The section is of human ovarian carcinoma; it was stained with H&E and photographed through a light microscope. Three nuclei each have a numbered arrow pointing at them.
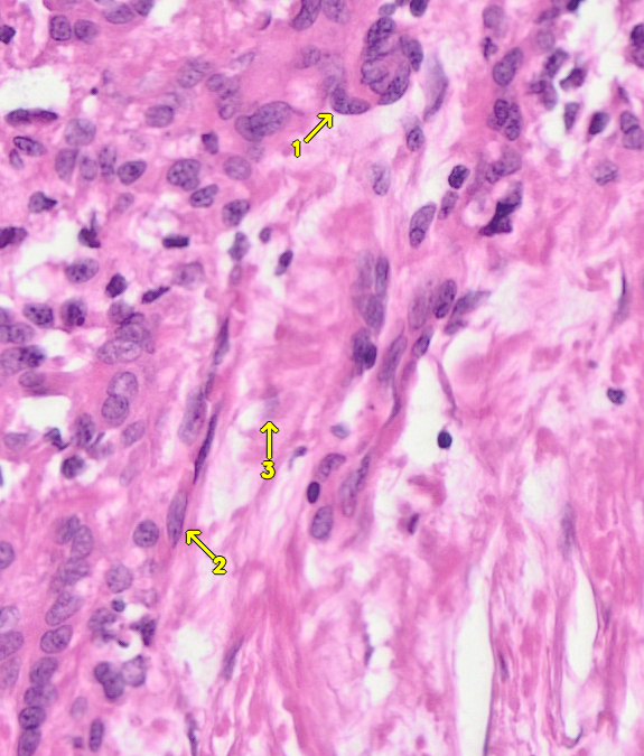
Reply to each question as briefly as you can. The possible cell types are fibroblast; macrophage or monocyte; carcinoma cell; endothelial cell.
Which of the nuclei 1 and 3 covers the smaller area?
3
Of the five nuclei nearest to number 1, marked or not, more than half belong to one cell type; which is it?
endothelial cell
